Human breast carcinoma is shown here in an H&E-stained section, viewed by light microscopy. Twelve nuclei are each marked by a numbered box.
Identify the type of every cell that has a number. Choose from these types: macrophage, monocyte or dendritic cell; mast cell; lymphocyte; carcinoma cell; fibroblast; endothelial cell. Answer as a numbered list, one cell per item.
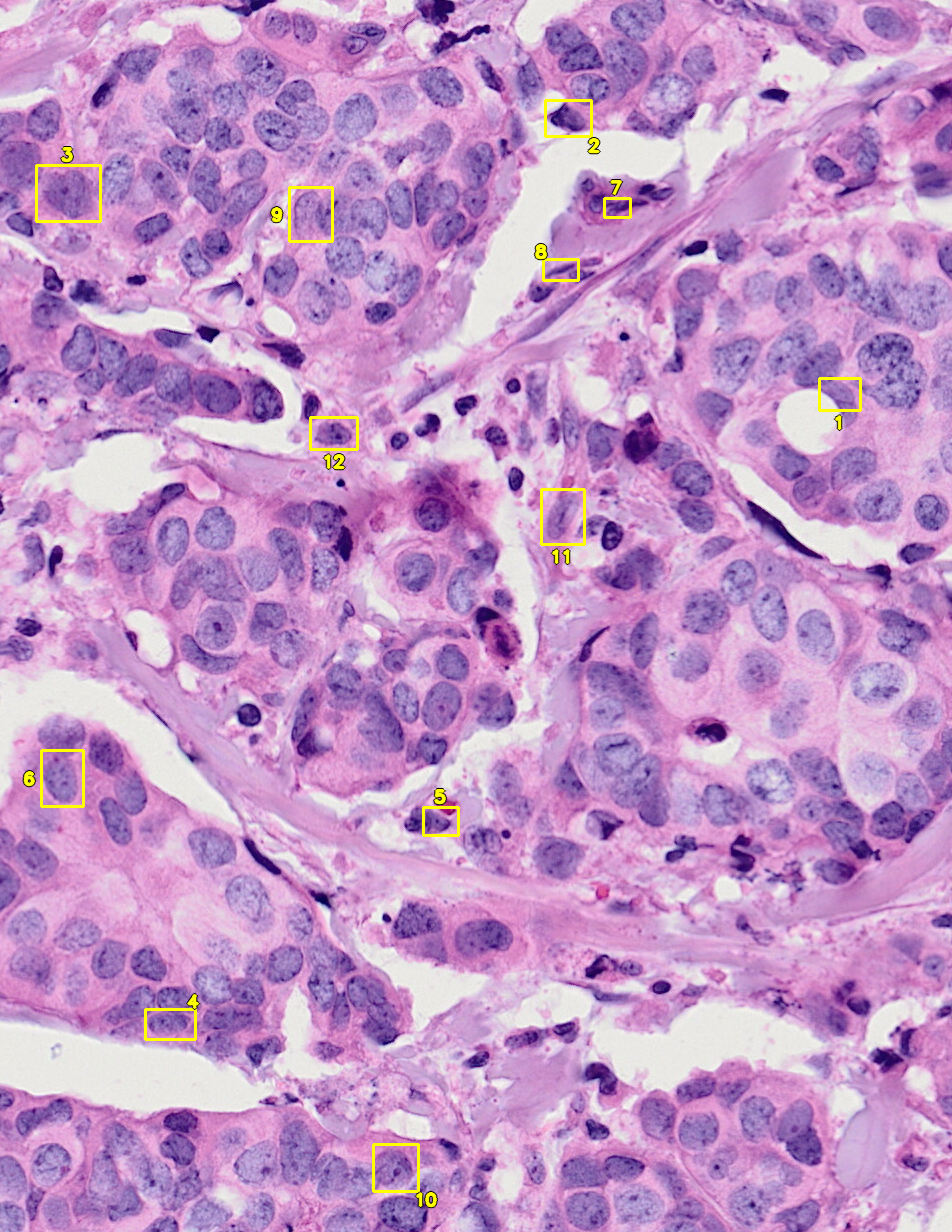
1. carcinoma cell
2. carcinoma cell
3. carcinoma cell
4. carcinoma cell
5. endothelial cell
6. carcinoma cell
7. endothelial cell
8. fibroblast
9. carcinoma cell
10. carcinoma cell
11. endothelial cell
12. macrophage, monocyte or dendritic cell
